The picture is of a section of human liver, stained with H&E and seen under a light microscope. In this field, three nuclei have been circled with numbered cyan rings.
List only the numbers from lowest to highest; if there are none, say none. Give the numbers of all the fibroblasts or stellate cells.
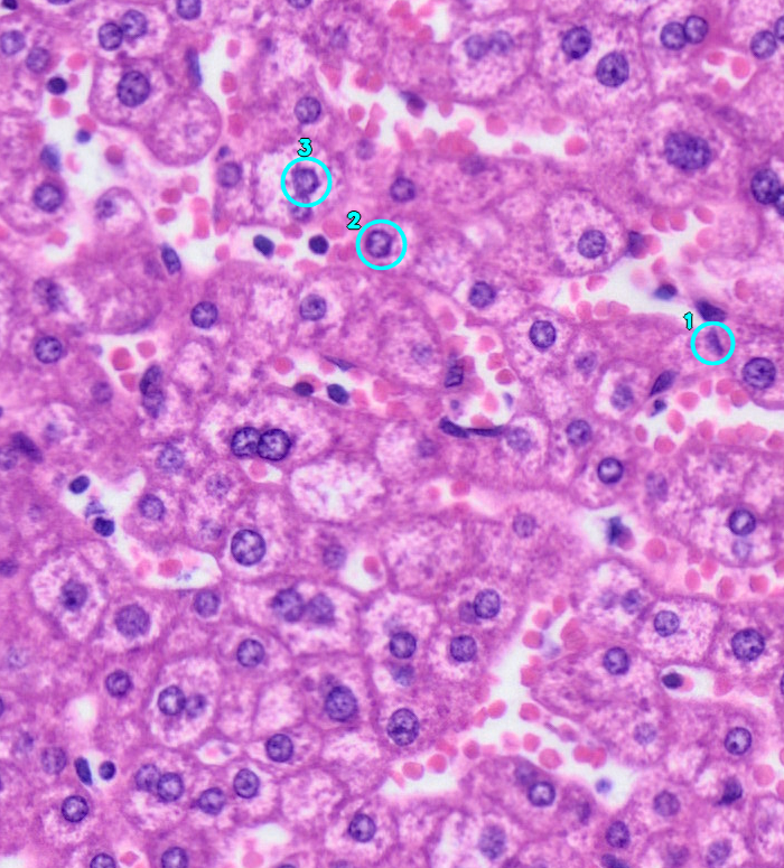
1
